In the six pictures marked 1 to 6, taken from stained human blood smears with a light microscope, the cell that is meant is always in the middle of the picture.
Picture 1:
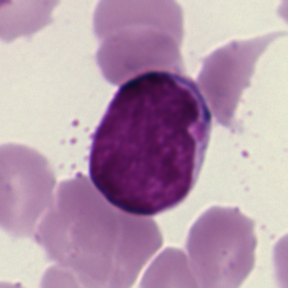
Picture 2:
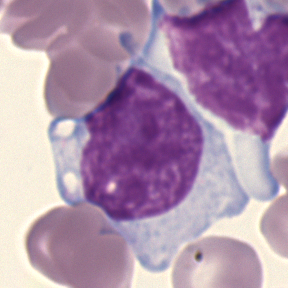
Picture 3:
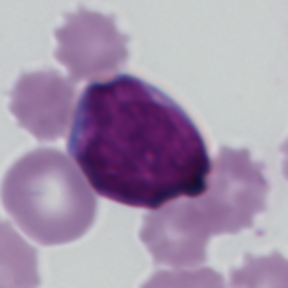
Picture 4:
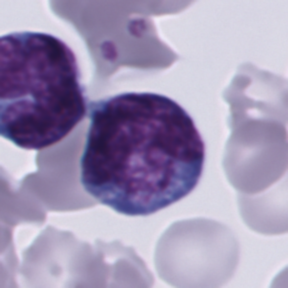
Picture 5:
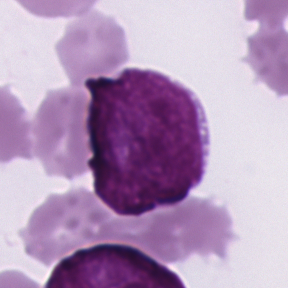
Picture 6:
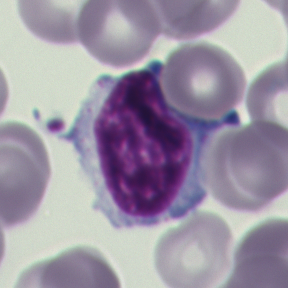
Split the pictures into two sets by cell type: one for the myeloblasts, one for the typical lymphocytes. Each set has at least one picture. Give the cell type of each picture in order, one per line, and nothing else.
myeloblast
myeloblast
myeloblast
typical lymphocyte
myeloblast
typical lymphocyte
